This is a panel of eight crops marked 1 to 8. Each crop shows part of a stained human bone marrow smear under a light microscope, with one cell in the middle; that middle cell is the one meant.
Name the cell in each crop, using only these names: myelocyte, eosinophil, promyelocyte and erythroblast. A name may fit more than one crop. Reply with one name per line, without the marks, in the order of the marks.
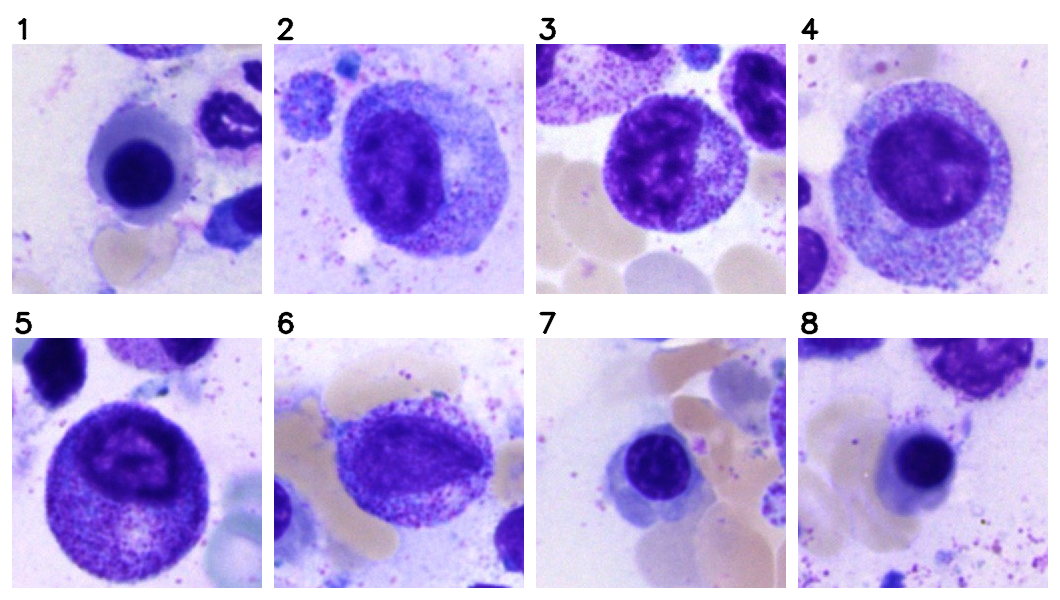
erythroblast
promyelocyte
myelocyte
promyelocyte
myelocyte
myelocyte
erythroblast
erythroblast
